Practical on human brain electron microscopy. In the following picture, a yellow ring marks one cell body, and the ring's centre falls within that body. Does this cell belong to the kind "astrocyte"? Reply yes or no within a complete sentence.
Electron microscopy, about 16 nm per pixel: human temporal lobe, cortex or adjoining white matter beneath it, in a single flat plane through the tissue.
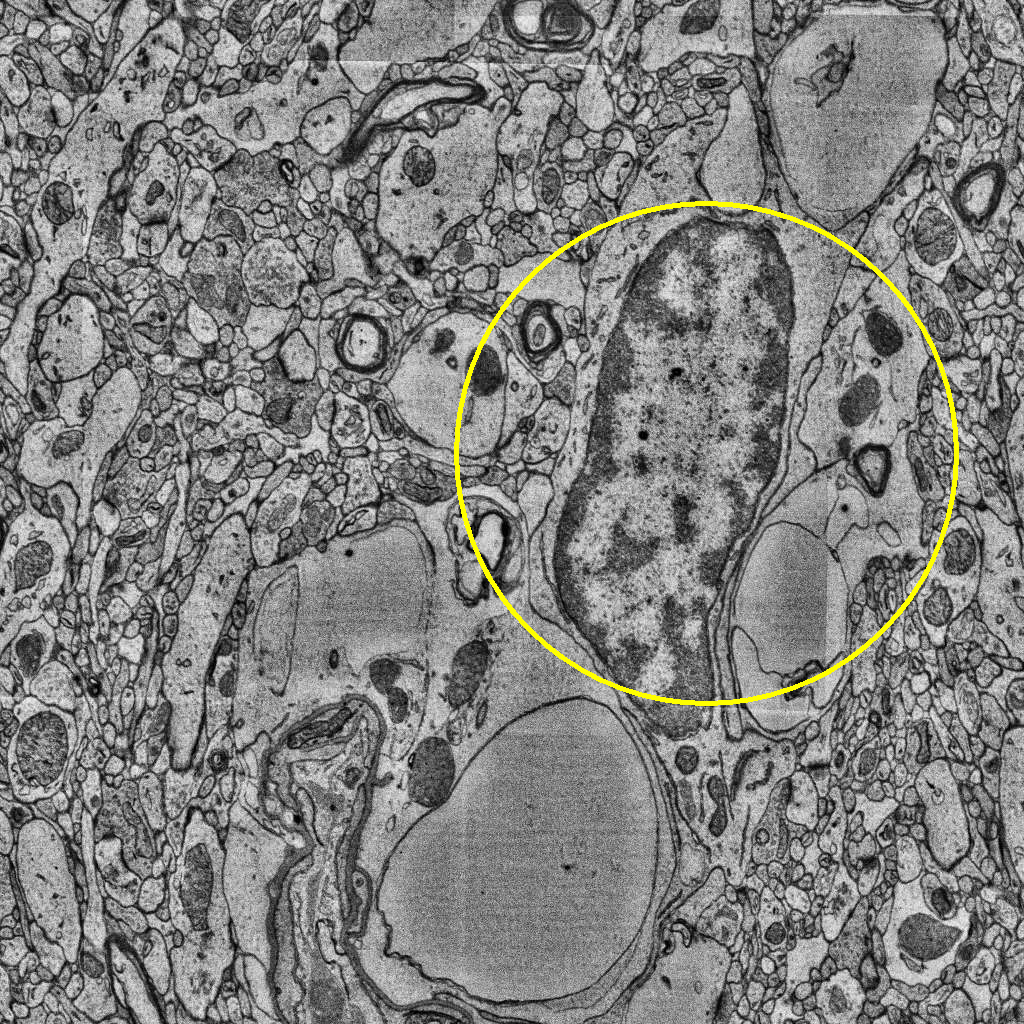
No, the cell holding the centre of the ring here is another kind.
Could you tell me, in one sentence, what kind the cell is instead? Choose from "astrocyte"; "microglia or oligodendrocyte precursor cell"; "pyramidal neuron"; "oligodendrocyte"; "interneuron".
So the cell at the centre is a microglial cell or oligodendrocyte precursor cell.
